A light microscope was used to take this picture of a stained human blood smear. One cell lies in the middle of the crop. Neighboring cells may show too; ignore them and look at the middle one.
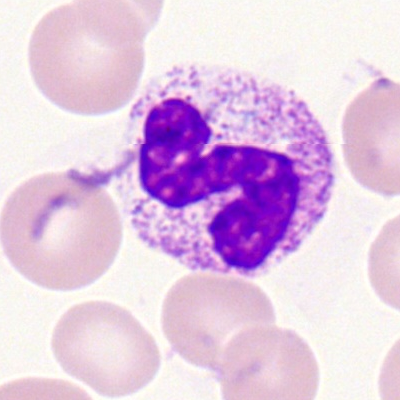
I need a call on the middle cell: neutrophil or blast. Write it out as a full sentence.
The central cell shown in this smear crop is a neutrophil.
